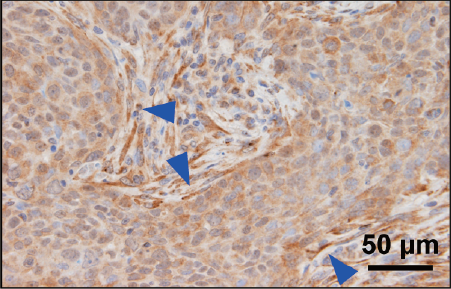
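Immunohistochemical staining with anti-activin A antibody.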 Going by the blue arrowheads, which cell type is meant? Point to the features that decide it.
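The arrowheads point to elongated spindle-shaped cells in a stromal strand running between nests of tumor cells. These spindle cells have slender elongated nuclei and brown-stained cytoplasm.
Cancer-associated fibroblasts.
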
